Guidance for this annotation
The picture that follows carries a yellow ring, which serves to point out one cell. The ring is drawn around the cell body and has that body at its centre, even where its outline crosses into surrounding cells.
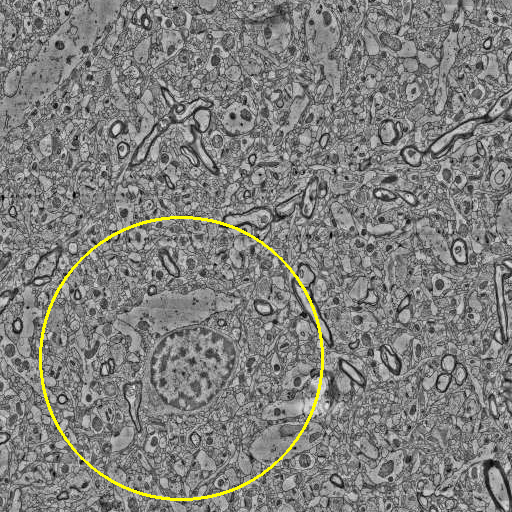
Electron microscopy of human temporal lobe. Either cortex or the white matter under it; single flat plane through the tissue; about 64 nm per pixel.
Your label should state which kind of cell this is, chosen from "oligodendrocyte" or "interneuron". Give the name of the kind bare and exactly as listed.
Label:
oligodendrocyte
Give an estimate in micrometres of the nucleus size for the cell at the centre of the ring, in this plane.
In this plane, roughly 6 by 5 micrometres.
